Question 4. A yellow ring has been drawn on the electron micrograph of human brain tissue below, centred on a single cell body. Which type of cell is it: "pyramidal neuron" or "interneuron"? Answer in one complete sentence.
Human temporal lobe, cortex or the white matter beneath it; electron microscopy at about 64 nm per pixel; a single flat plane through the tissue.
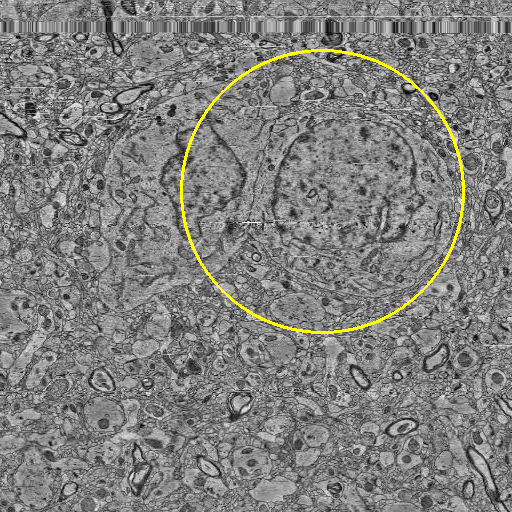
This cell body belongs to an interneuron.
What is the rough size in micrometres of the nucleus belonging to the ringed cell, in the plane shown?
In this plane, roughly 10 micrometres across.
